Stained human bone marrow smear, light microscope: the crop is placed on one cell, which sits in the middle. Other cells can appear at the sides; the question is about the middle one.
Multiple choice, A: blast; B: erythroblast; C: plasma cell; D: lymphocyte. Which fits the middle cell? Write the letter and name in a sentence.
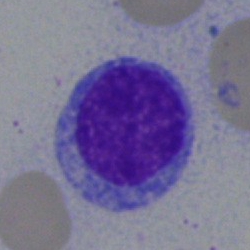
Option D stands as correct, the central cell being a lymphocyte.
